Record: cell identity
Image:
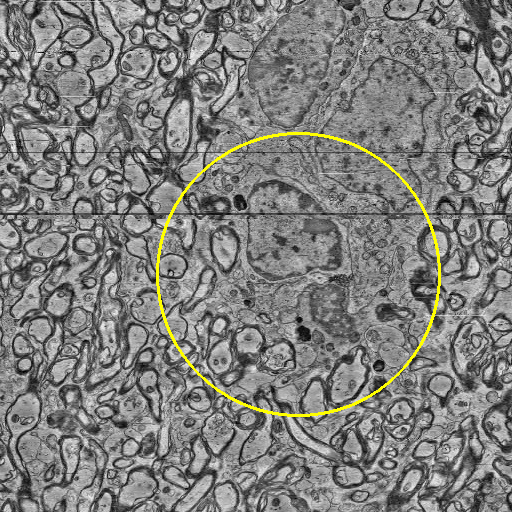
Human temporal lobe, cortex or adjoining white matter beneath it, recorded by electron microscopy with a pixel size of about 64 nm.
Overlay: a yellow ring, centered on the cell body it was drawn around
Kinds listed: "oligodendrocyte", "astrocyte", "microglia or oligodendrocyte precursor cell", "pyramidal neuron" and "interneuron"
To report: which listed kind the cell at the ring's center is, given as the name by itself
microglia or oligodendrocyte precursor cell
